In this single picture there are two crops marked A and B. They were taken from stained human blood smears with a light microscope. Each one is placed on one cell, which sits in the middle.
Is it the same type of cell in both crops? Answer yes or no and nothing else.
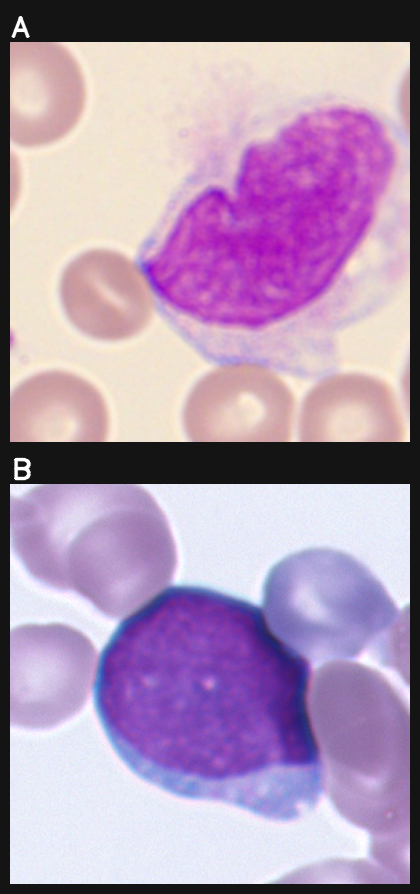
no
